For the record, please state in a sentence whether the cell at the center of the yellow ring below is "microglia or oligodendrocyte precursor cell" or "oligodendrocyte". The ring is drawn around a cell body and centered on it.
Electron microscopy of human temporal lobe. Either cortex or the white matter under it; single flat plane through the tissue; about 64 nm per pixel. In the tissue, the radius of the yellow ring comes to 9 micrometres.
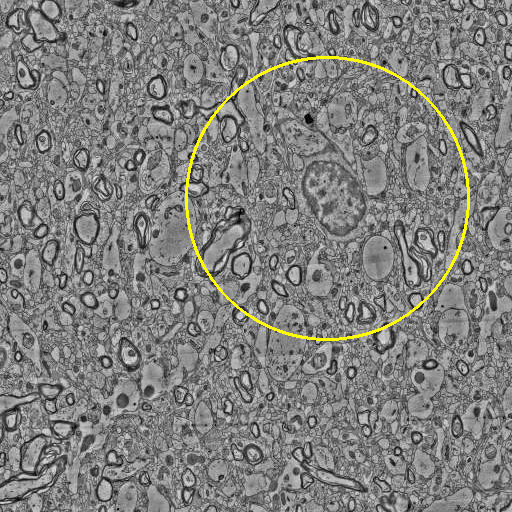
The cell at the ring's center is an oligodendrocyte.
